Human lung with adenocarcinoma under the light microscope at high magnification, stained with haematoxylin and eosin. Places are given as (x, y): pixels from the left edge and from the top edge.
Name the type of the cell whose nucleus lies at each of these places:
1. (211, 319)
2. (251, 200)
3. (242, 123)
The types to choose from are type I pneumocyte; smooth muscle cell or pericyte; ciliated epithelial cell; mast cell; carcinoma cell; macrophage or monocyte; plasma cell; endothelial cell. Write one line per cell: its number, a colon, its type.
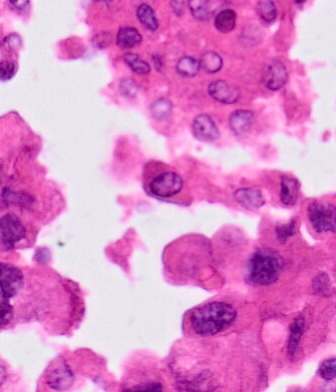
1: carcinoma cell
2: macrophage or monocyte
3: macrophage or monocyte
